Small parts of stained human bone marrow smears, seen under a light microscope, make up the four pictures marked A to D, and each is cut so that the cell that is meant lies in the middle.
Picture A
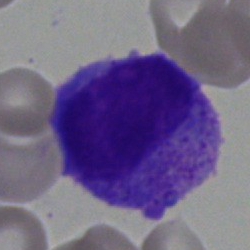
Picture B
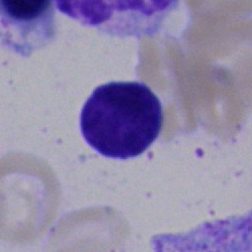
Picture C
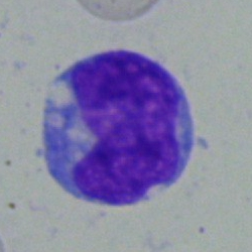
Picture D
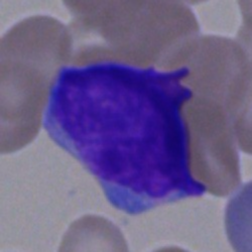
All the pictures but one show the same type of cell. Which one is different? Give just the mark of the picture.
B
